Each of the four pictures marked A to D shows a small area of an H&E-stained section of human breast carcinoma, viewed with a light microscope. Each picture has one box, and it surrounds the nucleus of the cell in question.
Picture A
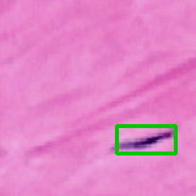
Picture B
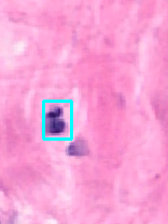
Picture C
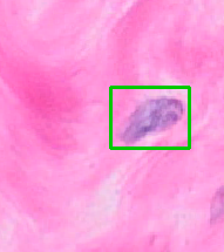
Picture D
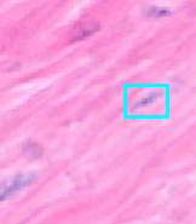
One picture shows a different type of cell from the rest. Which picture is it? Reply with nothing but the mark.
B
